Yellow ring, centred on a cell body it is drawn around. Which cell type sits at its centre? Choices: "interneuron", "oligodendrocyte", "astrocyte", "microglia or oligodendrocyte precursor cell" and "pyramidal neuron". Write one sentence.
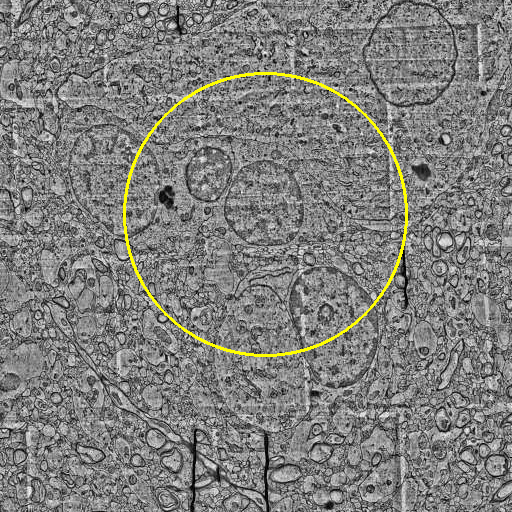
At the centre of the ring sits an oligodendrocyte.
